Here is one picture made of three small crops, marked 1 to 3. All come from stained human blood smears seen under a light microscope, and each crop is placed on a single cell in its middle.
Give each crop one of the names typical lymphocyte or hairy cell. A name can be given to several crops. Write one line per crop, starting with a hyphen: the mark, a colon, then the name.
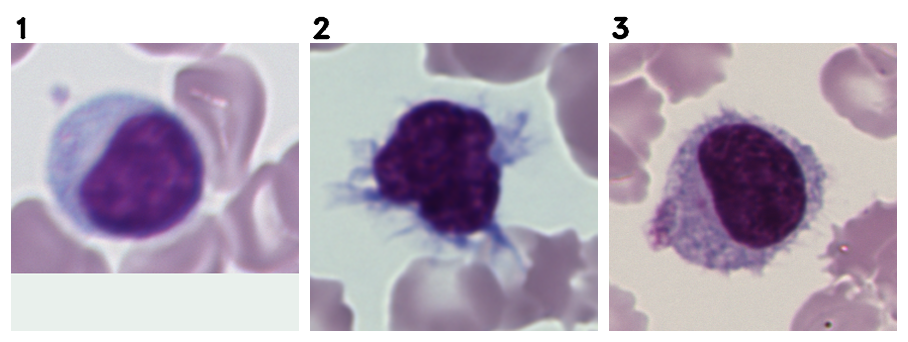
- 1: typical lymphocyte
- 2: hairy cell
- 3: hairy cell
